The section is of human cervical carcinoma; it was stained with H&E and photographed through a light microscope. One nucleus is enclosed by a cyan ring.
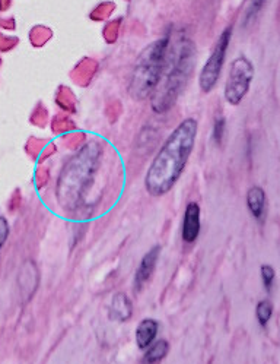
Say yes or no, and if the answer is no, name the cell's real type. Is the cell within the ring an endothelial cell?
Yes.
